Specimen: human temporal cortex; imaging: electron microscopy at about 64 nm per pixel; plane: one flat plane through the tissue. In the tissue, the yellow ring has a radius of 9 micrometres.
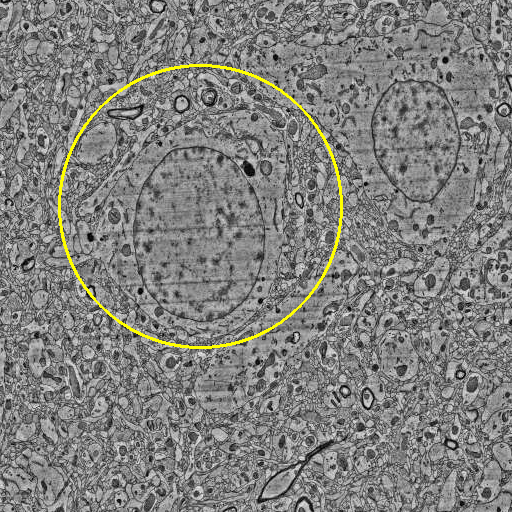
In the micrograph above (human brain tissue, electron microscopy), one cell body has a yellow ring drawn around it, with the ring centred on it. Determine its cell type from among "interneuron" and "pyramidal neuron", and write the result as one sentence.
The cell whose body is ringed is a pyramidal neuron.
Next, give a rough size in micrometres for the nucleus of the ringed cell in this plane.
In this plane the nucleus spans approximately 11 by 8 micrometers.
